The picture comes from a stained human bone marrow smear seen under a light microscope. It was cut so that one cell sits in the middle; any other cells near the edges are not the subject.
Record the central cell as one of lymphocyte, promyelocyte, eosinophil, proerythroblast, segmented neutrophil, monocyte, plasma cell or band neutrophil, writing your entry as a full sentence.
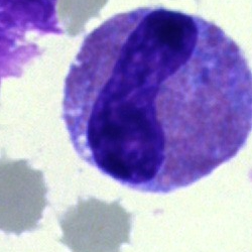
As for the cell in the middle, it is an eosinophil.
